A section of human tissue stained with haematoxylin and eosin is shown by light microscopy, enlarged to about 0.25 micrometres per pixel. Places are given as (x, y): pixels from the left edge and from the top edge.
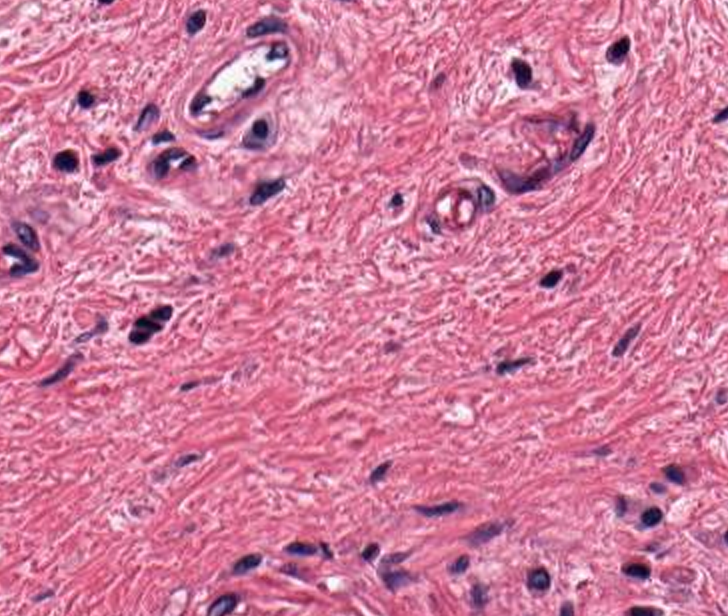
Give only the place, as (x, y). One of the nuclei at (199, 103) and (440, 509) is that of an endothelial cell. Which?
(199, 103)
